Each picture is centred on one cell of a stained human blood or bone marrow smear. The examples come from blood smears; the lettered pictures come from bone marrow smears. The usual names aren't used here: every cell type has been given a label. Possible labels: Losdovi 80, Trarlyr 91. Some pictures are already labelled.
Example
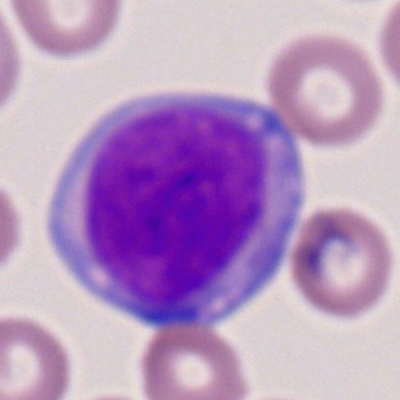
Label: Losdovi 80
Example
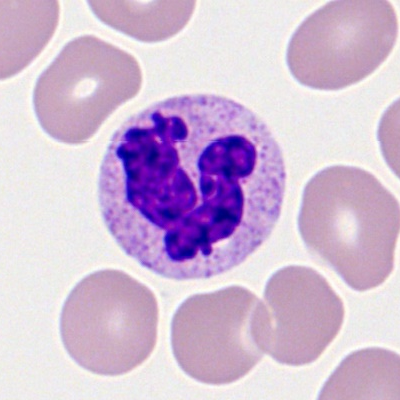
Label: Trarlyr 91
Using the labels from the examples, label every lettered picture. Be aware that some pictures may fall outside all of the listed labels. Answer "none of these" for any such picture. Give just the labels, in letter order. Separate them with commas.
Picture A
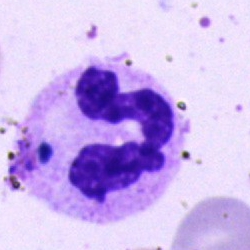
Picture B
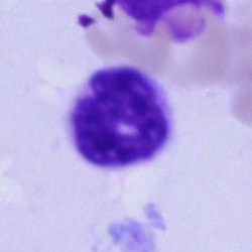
Trarlyr 91, Trarlyr 91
